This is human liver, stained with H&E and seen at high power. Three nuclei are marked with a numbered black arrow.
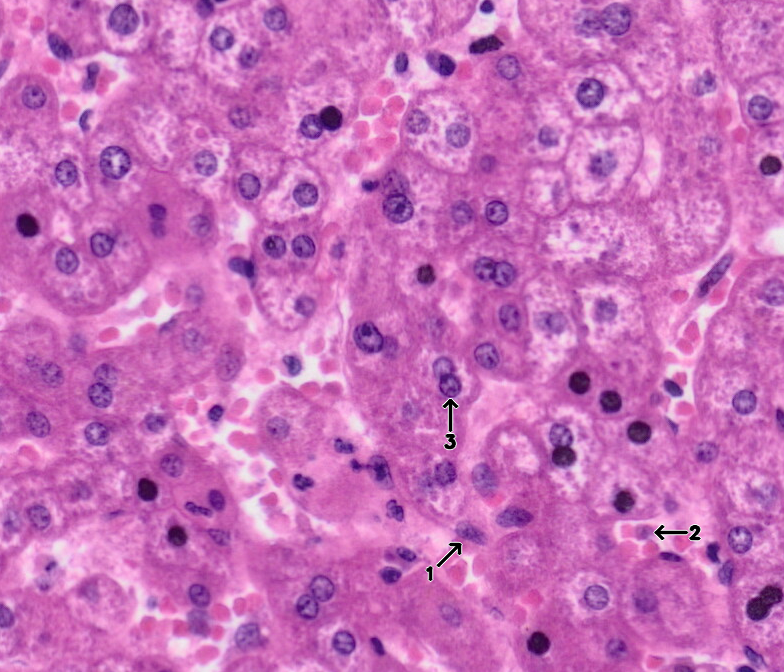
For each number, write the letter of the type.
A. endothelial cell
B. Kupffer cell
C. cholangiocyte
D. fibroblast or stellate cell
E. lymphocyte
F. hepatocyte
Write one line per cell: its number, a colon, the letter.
1: D
2: B
3: F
